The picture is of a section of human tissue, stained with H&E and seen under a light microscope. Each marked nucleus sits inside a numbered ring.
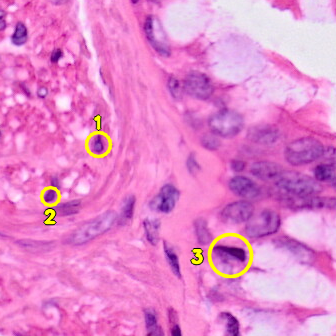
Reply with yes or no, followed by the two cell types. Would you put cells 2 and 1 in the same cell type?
Yes, the pair of cells 2 and 1 are both smooth muscle cells or pericytes.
